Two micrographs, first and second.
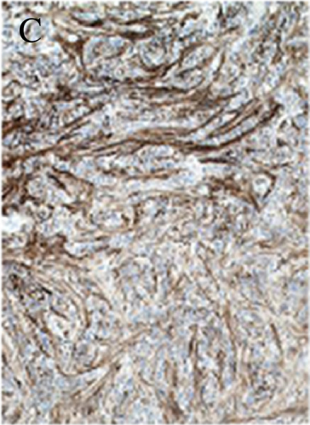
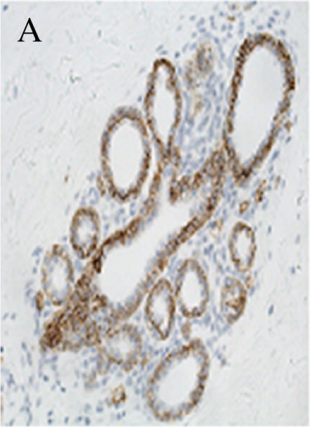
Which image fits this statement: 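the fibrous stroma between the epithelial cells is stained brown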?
The first image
